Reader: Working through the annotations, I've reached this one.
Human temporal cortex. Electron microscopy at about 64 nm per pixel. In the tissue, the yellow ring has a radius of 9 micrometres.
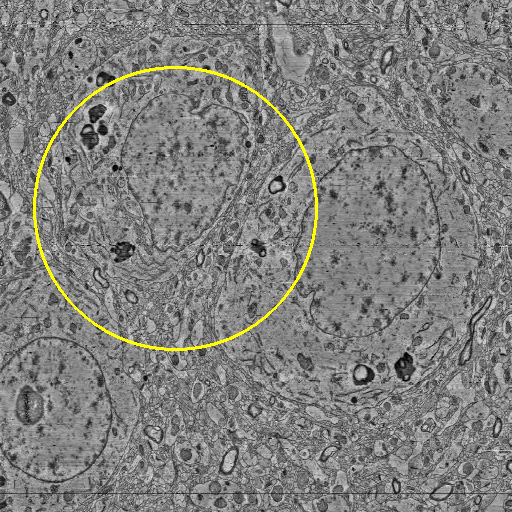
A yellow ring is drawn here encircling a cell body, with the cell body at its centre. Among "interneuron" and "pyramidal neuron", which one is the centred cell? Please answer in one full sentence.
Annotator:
The cell body at the centre of the yellow ring in this image belongs to an interneuron.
